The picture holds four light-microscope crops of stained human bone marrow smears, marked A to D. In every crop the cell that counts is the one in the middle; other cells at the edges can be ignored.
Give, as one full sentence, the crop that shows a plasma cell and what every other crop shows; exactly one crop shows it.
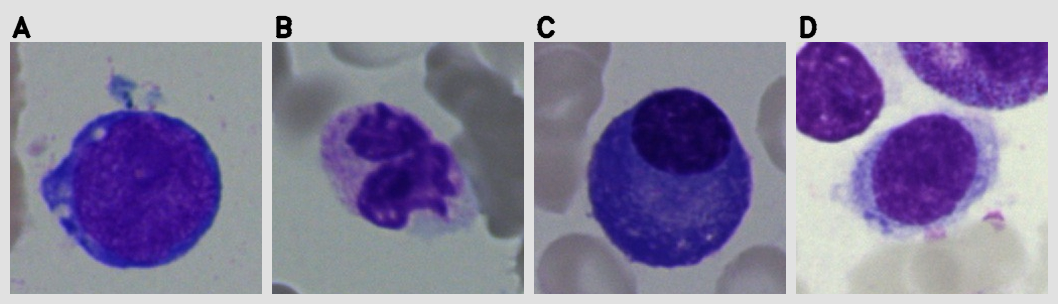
On inspection, crop C shows a plasma cell, while crop A is a blast, crop B is a band neutrophil and crop D is a hairy cell.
